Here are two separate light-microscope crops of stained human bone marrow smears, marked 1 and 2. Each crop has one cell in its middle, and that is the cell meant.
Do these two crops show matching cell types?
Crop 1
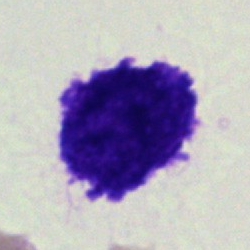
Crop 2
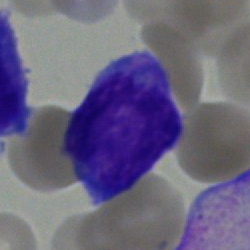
yes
